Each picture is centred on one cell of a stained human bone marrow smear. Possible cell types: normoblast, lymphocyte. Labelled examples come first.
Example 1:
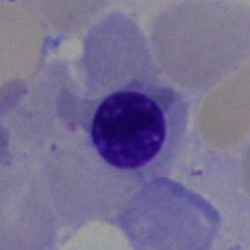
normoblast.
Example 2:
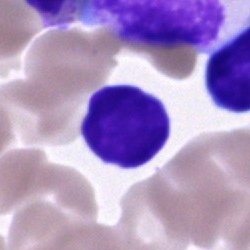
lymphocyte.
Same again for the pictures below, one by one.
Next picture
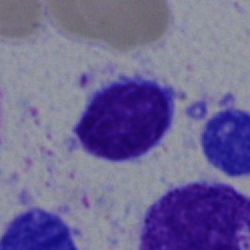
lymphocyte.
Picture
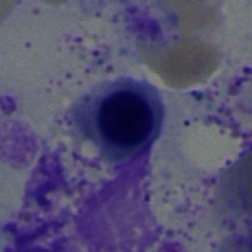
normoblast.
